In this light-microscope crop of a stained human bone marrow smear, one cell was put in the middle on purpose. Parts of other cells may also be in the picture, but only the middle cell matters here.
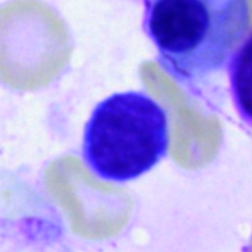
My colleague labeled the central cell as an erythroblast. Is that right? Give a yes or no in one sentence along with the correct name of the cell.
No, the cell in the centre of the crop is a lymphocyte as opposed to an erythroblast.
